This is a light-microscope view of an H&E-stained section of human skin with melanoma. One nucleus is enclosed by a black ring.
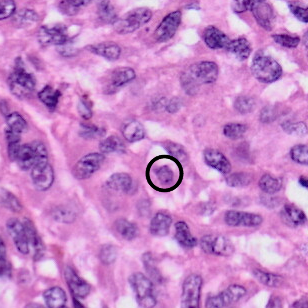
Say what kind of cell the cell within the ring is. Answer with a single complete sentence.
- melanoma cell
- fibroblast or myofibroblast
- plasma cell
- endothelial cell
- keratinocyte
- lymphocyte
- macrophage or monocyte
As a matter of cell type, the cell within the ring is a melanoma cell.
